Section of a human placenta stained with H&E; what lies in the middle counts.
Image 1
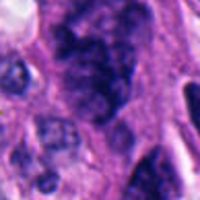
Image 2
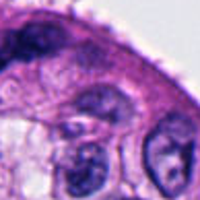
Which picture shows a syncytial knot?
Picture 1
